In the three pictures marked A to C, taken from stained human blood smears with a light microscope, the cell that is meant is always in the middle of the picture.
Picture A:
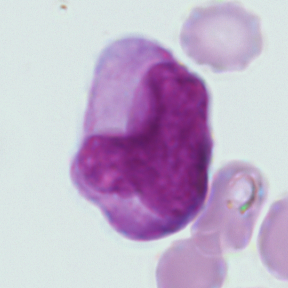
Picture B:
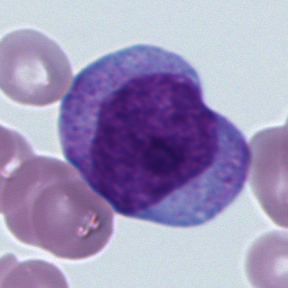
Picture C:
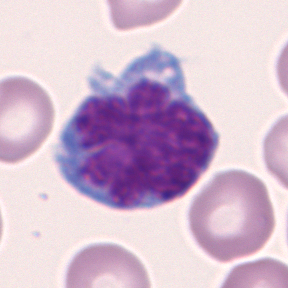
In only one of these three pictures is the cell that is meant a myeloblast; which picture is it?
C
